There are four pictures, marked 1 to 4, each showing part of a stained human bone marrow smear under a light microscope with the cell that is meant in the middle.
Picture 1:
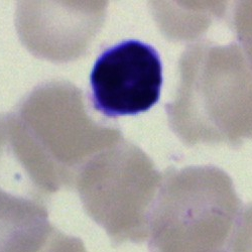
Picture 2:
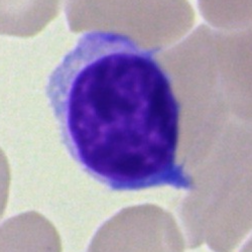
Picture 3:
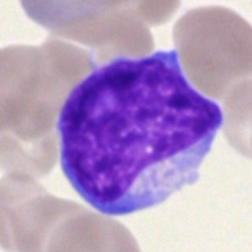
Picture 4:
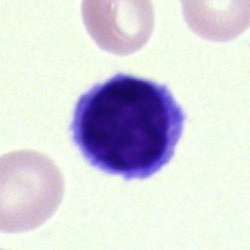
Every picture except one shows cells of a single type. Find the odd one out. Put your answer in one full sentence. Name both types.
All pictures except 3 show lymphocytes; picture 3 shows a blast.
